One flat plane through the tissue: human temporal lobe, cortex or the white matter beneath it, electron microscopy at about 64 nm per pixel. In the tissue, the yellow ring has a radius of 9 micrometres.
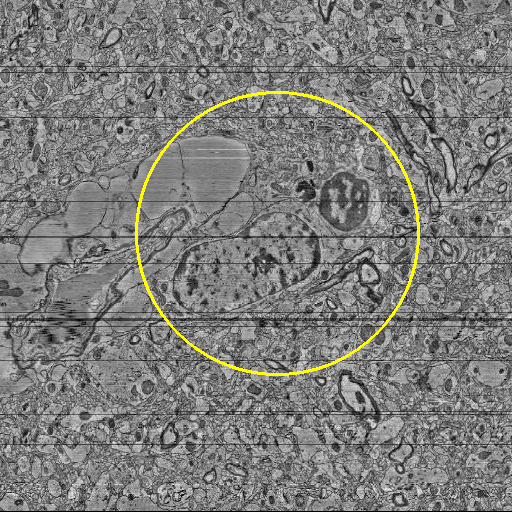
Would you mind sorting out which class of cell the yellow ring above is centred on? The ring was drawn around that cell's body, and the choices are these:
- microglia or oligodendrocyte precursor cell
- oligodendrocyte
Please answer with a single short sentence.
This is the cell body of a microglial cell or oligodendrocyte precursor cell.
